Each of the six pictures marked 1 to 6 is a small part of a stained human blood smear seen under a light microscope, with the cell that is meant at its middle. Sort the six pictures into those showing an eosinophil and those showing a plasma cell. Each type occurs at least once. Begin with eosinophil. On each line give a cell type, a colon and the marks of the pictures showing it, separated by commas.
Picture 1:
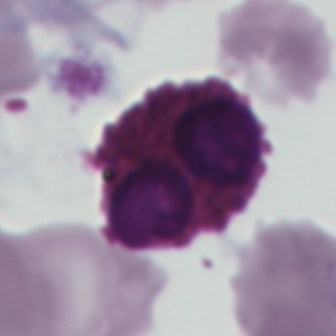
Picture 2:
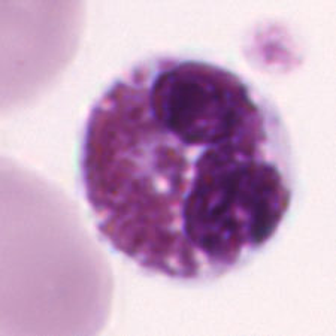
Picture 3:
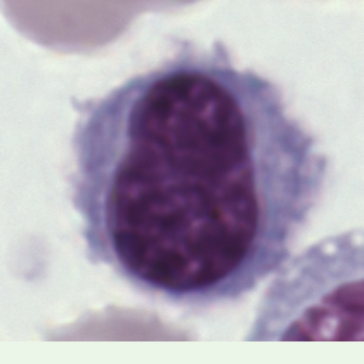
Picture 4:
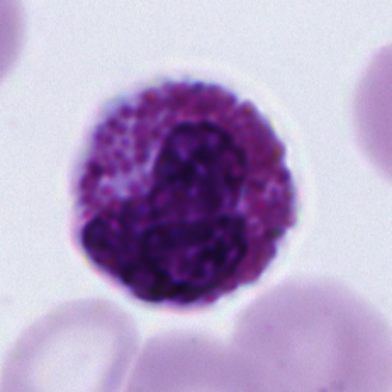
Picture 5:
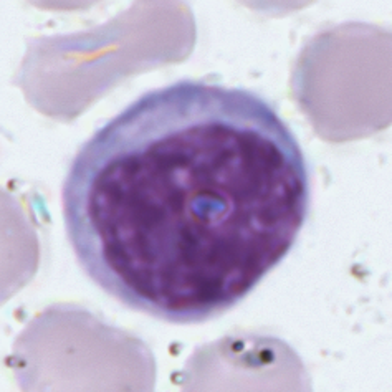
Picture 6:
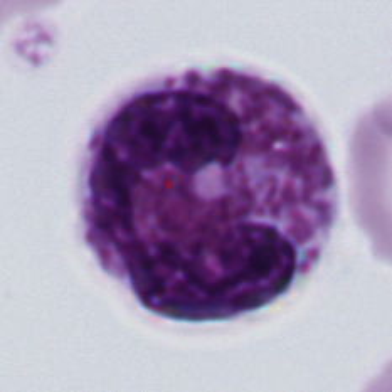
eosinophil: 1, 2, 4, 6
plasma cell: 3, 5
